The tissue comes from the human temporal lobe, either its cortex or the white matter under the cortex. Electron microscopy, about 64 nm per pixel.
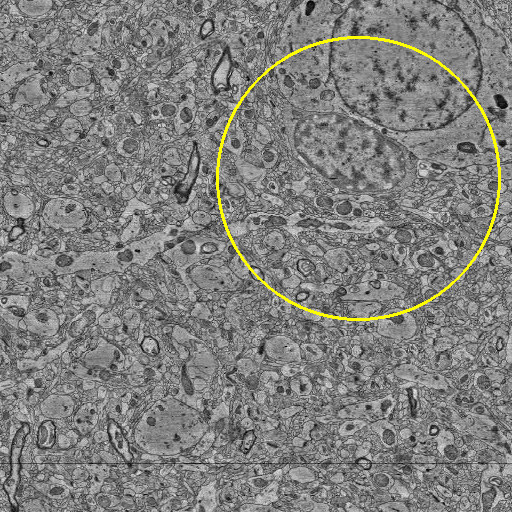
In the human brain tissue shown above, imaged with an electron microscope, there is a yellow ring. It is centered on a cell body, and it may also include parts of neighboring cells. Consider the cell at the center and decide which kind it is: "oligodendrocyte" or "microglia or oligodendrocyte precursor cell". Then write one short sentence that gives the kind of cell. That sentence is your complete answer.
This centered cell body is that of an oligodendrocyte.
